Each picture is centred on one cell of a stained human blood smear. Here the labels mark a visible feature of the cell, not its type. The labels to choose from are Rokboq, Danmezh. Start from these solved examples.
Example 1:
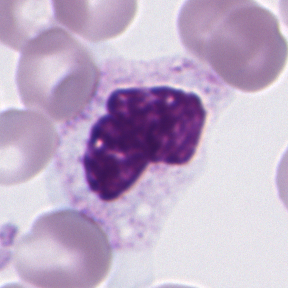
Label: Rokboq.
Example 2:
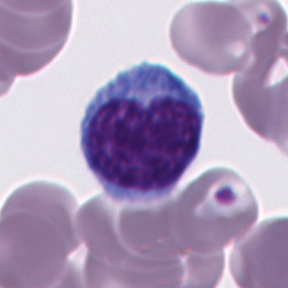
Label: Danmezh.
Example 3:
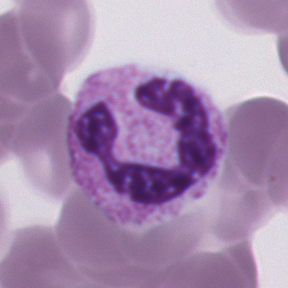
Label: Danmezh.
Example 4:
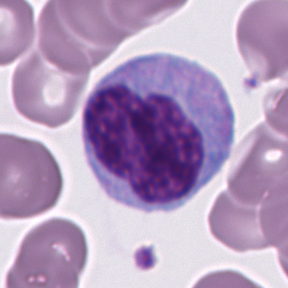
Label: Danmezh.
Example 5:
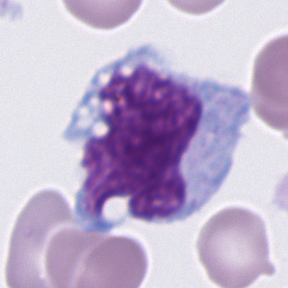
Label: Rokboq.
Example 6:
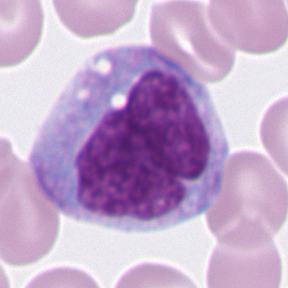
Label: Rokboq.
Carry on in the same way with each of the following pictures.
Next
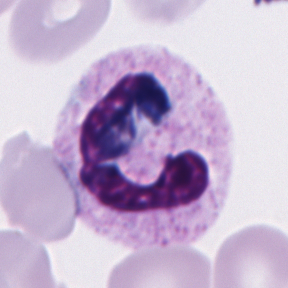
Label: Danmezh.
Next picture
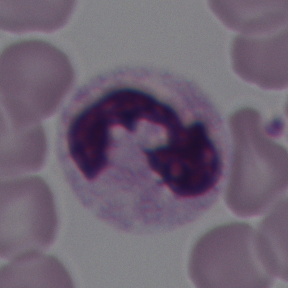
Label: Danmezh.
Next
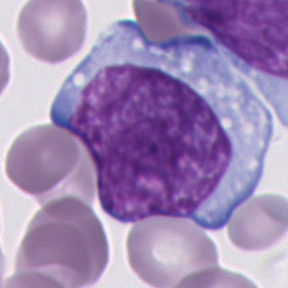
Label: Rokboq.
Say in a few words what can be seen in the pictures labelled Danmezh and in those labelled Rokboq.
In Danmezh: no vacuoles. In Rokboq: vacuoles present.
